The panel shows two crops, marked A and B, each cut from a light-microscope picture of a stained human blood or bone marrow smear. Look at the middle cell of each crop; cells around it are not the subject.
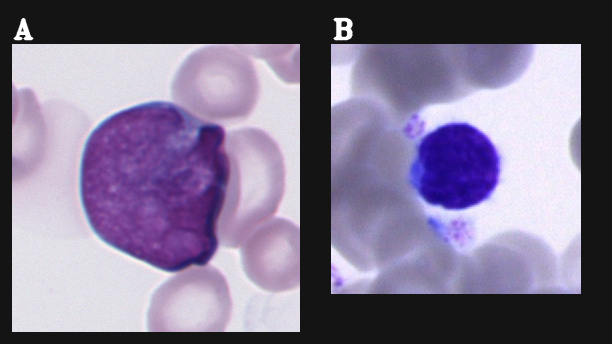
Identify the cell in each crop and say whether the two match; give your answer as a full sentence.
No, in crop B the central cell is a lymphocyte, and in crop A it is a blast.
